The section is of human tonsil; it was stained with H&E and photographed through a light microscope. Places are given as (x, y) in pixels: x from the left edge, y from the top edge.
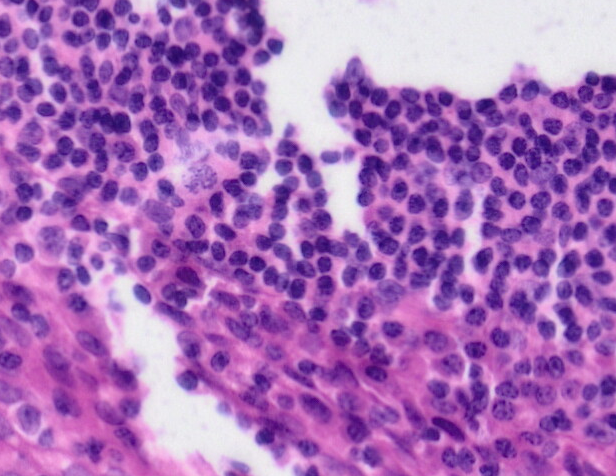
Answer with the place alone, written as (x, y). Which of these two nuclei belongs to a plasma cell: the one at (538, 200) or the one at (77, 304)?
(77, 304)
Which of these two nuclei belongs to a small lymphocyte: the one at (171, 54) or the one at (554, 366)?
(171, 54)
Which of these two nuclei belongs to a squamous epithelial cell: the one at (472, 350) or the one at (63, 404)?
(63, 404)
